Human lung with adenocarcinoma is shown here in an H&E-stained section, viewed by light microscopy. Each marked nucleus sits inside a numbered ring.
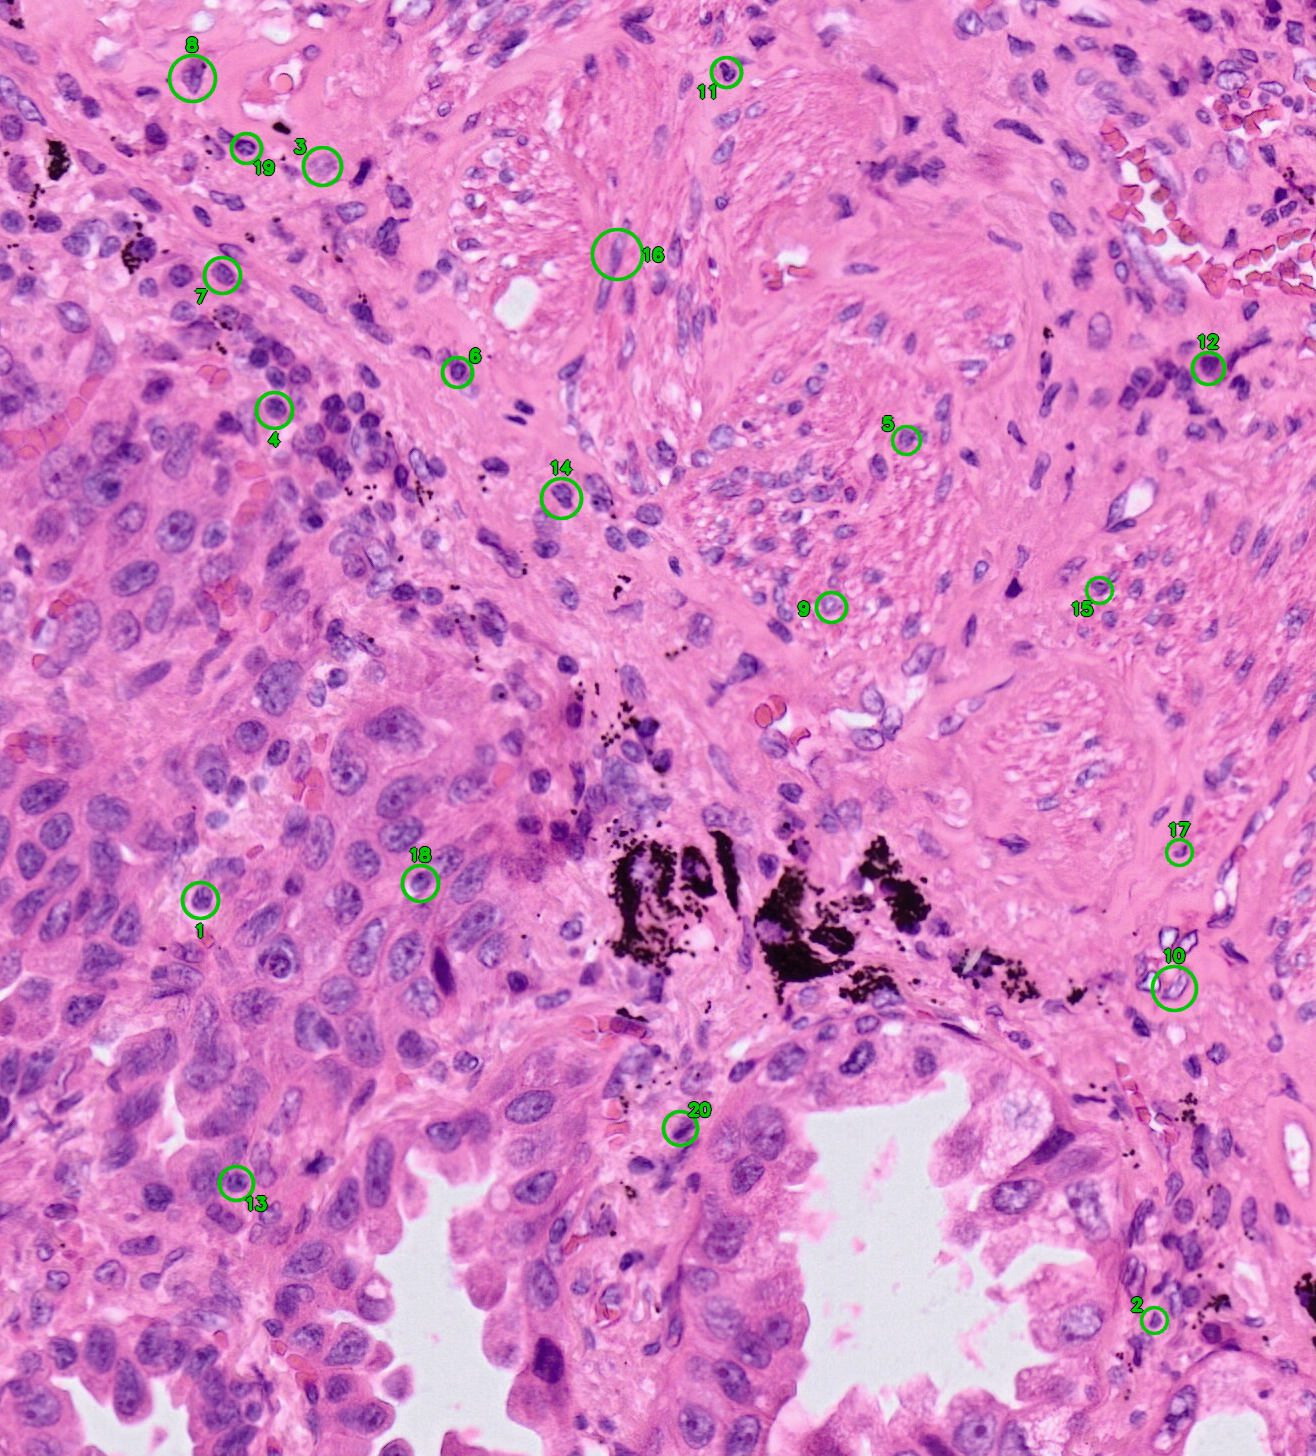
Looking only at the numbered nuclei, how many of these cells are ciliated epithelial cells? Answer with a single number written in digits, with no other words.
0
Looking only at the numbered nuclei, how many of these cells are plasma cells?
2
